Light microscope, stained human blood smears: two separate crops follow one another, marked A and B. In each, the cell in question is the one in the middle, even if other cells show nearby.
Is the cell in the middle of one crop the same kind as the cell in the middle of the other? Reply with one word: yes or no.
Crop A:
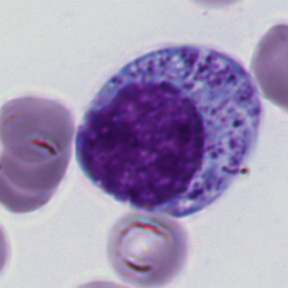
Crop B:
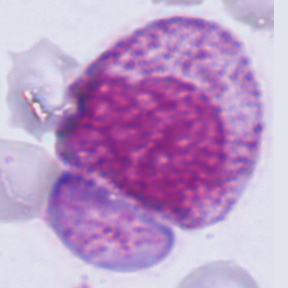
yes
